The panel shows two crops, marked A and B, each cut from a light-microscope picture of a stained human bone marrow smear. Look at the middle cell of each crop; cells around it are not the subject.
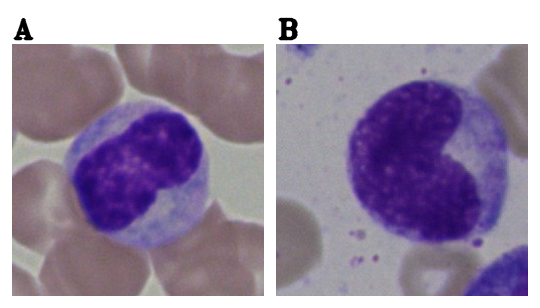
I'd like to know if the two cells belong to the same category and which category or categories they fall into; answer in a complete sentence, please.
Yes, the cells that the two crops centre on are metamyelocytes.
